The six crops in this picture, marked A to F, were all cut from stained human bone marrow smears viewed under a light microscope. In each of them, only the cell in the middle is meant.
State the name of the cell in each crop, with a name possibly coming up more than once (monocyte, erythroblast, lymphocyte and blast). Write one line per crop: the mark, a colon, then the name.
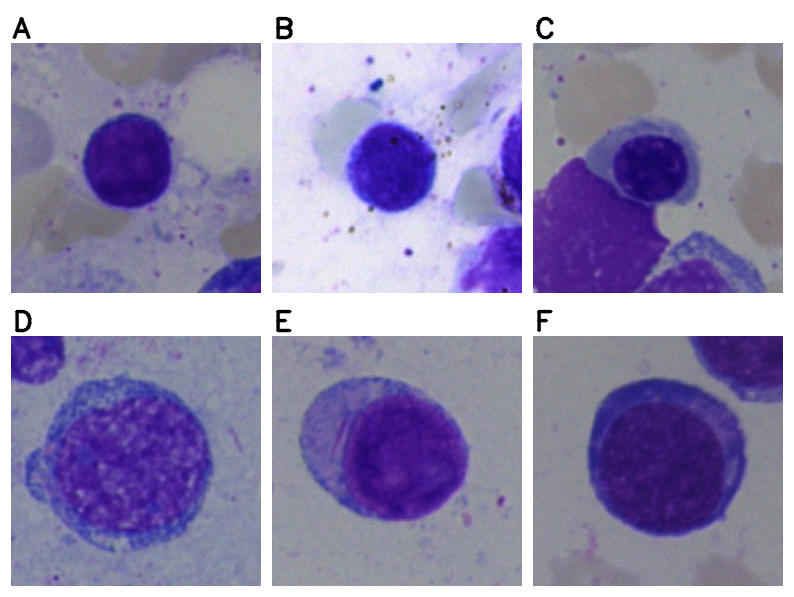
A: lymphocyte
B: lymphocyte
C: erythroblast
D: blast
E: blast
F: blast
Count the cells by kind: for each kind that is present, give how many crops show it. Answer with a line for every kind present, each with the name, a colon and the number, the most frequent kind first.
blast: 3
lymphocyte: 2
erythroblast: 1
